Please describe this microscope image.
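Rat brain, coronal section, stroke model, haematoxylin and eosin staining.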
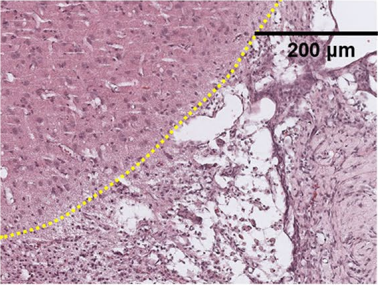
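Border of a cortical infarct with mononuclear inflammatory cell infiltration. To the upper left, viable cortex is compact and pink, with scattered neuronal and glial nuclei in an even neuropil. A yellow dashed line marks the edge. Beyond it the tissue is pale, loose and vacuolated, with many empty spaces and thin-walled vessels.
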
